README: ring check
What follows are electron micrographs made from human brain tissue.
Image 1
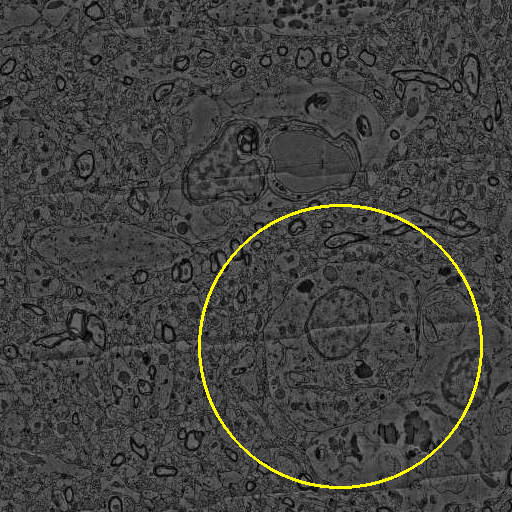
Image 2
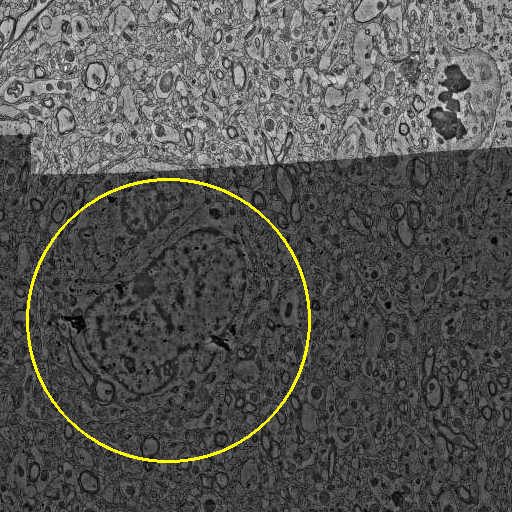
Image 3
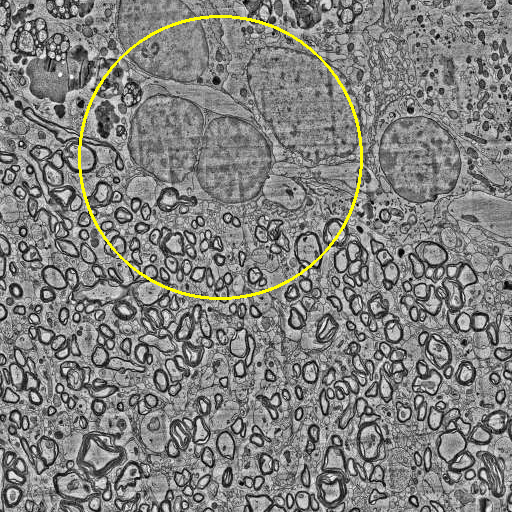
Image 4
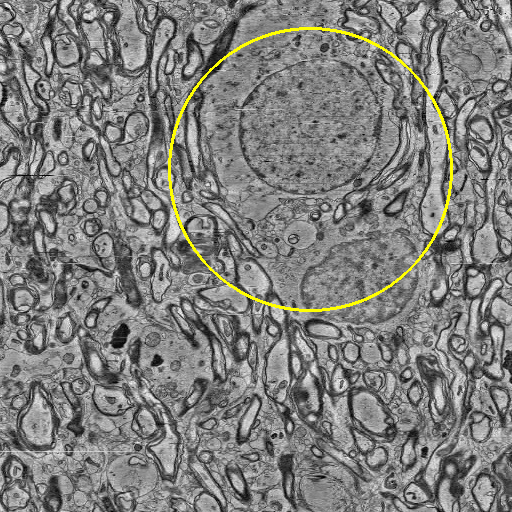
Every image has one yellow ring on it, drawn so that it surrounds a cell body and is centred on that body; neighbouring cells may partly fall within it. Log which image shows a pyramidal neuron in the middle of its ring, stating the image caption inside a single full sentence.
Image 1 is where the cell at the ring's centre matches the one asked for.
